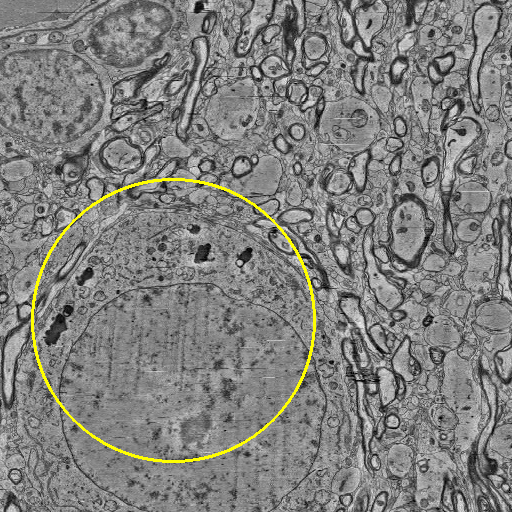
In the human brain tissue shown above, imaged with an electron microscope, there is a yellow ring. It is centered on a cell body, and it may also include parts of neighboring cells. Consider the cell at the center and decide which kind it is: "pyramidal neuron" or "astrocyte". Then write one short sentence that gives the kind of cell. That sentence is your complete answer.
This centered cell body is that of a pyramidal neuron.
